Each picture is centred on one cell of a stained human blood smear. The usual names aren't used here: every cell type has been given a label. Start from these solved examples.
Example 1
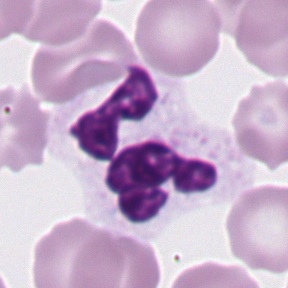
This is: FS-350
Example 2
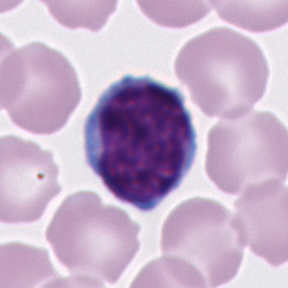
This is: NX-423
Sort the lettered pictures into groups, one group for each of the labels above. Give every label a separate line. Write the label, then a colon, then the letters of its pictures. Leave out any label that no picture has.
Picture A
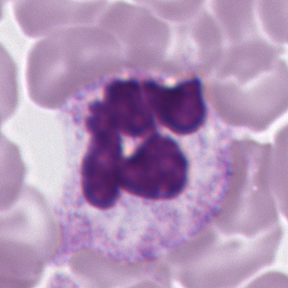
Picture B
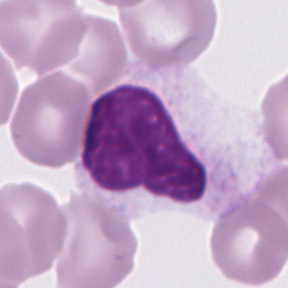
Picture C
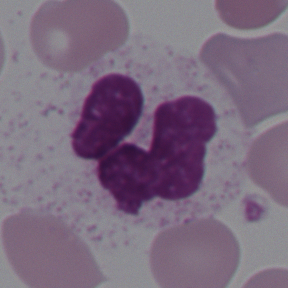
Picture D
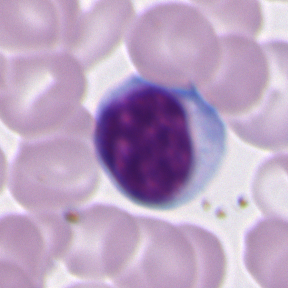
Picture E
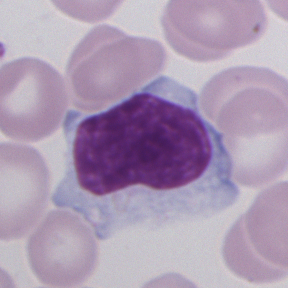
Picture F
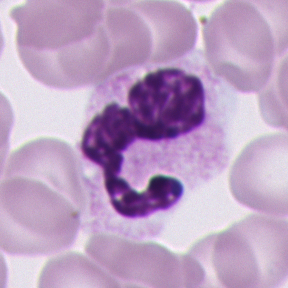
FS-350: A, B, C, F
NX-423: D, E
